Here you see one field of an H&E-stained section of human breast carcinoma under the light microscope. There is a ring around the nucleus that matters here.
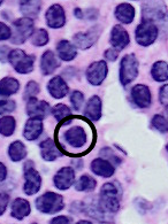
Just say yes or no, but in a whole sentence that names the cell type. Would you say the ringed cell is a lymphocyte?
Yes, the naming of the ringed cell as a lymphocyte is correct.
